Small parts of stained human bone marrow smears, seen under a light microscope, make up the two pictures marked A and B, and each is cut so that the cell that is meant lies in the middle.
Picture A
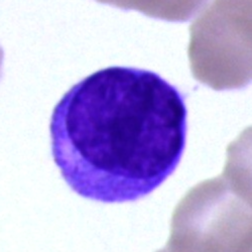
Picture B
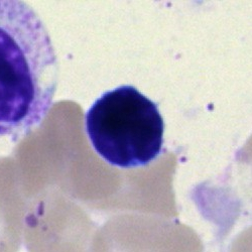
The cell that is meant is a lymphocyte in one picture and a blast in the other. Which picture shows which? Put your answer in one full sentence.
It is picture A that shows a blast, and picture B that shows a lymphocyte.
